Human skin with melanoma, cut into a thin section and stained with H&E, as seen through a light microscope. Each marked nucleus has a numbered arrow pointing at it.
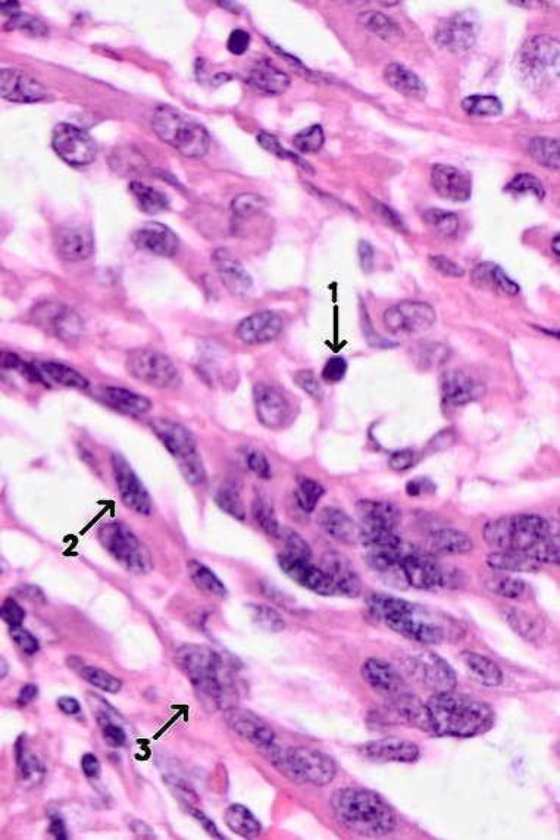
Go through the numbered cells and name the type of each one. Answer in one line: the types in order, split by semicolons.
lymphocyte; melanoma cell; melanoma cell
